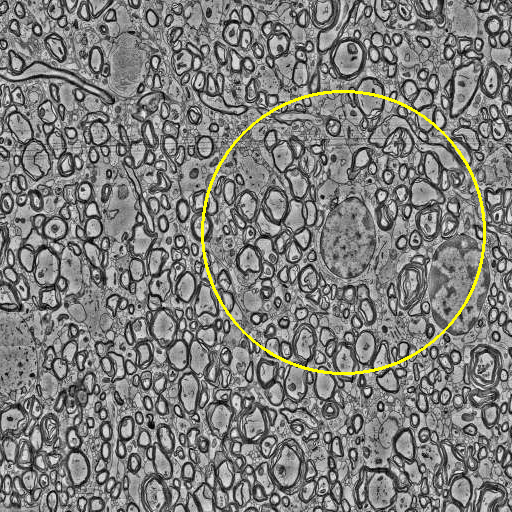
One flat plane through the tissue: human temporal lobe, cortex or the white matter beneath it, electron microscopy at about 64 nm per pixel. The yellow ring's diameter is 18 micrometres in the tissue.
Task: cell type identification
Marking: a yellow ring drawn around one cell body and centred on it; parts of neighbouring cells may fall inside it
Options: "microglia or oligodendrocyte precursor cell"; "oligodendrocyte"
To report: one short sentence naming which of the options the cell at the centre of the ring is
The cell at the centre of the ring is a microglial cell or oligodendrocyte precursor cell.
